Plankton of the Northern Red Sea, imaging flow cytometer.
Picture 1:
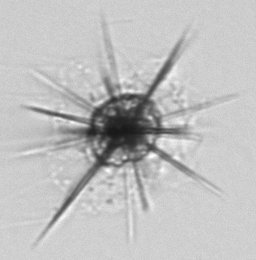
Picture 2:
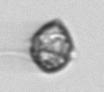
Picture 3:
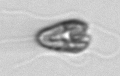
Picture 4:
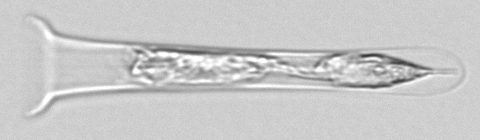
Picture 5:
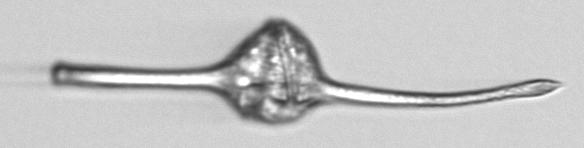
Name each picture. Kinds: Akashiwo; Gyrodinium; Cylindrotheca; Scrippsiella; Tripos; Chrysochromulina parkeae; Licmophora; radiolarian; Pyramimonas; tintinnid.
1. radiolarian
2. Scrippsiella
3. Pyramimonas
4. tintinnid
5. Tripos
